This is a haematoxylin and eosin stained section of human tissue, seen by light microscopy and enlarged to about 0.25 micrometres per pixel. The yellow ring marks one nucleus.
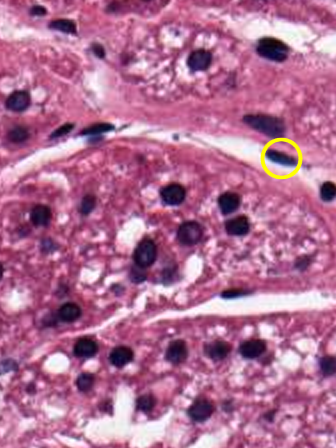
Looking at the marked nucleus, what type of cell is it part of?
endothelial cell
